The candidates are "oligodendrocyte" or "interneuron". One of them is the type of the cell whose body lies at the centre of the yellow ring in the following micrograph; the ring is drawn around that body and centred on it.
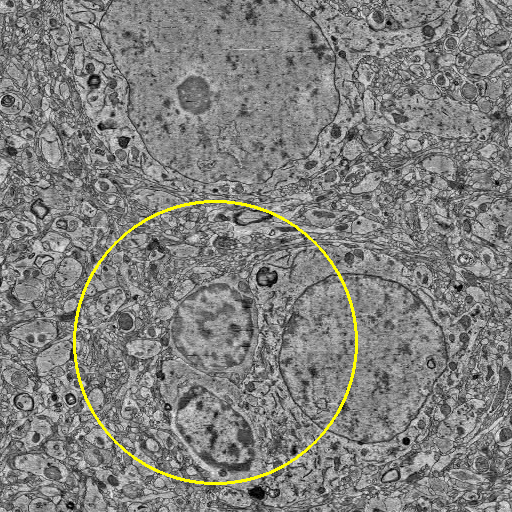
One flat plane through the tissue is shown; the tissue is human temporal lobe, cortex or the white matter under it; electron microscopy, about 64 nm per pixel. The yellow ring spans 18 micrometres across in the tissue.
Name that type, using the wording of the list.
oligodendrocyte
